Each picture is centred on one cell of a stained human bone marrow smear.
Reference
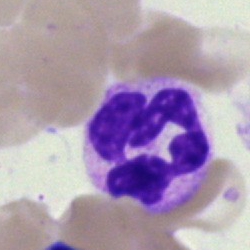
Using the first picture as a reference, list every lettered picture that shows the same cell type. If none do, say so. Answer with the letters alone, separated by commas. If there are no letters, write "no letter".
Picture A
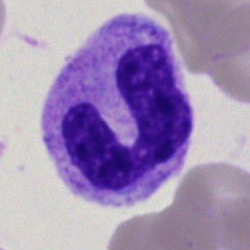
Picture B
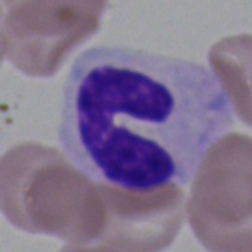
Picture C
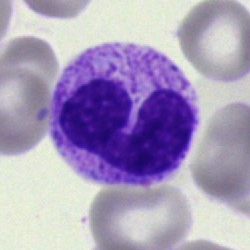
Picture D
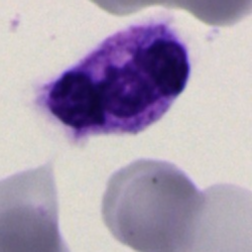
no letter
